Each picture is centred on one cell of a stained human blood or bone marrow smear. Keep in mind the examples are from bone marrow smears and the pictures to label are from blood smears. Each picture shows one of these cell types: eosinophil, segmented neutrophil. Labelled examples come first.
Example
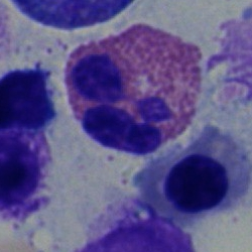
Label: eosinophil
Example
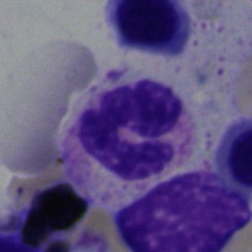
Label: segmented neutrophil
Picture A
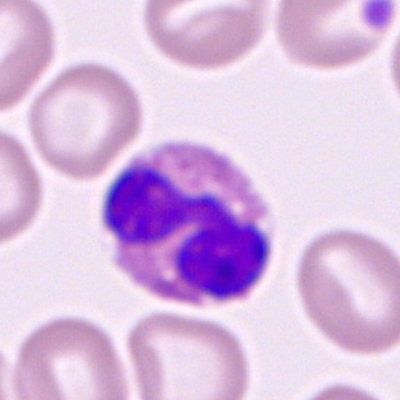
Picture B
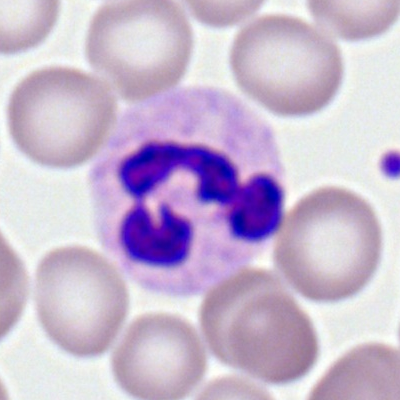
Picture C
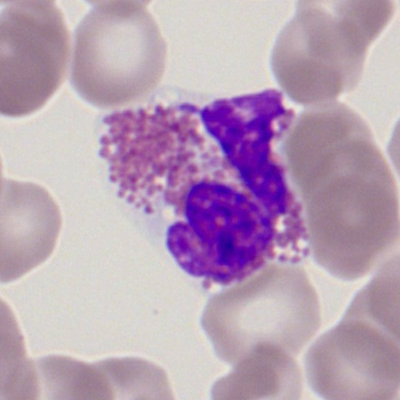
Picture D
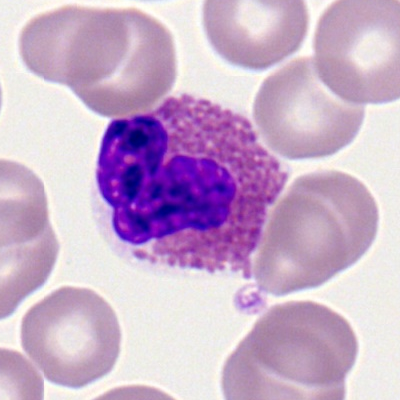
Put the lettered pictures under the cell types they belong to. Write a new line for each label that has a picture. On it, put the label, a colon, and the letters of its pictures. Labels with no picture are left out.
eosinophil: A, C, D
segmented neutrophil: B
